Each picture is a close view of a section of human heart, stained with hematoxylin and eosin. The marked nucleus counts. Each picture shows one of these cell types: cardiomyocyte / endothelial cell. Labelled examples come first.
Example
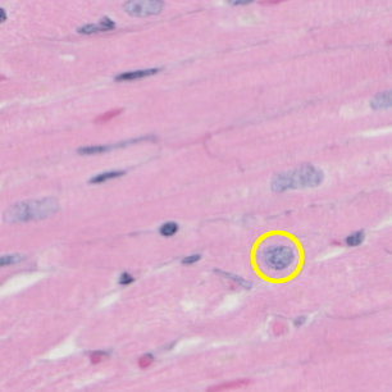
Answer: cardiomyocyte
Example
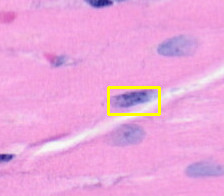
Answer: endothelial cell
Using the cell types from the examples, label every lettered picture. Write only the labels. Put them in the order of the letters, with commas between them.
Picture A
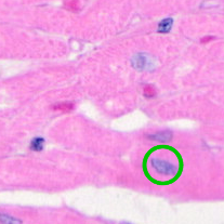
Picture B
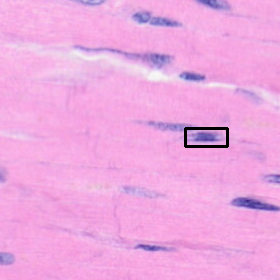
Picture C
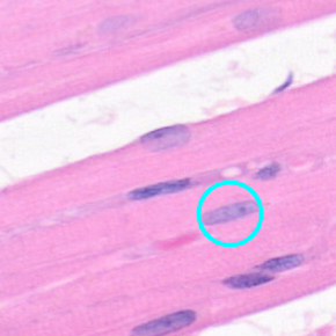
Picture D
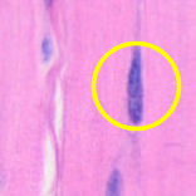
cardiomyocyte, endothelial cell, cardiomyocyte, endothelial cell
